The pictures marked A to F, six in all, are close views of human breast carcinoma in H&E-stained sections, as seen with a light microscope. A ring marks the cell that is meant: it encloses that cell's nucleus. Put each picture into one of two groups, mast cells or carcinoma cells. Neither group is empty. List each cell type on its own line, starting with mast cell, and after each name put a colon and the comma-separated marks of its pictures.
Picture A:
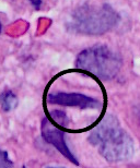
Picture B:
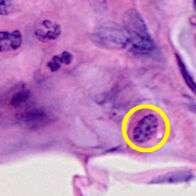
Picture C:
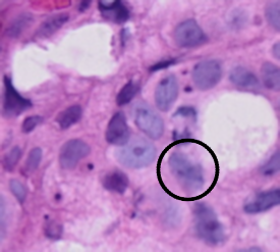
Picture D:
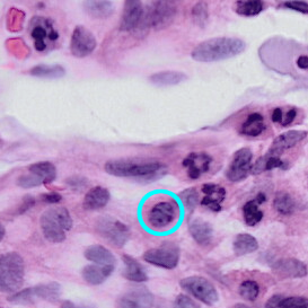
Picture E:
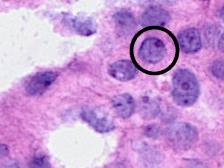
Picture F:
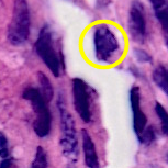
mast cell: B, D
carcinoma cell: A, C, E, F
